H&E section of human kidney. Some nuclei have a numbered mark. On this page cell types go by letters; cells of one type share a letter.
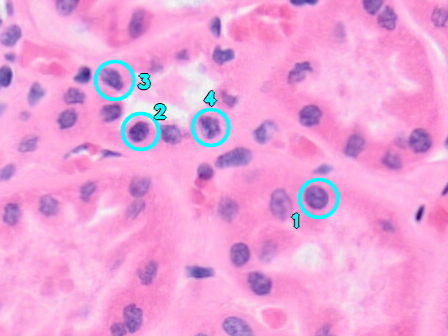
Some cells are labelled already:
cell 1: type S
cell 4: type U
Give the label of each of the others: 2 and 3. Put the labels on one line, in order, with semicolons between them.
type U; type U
